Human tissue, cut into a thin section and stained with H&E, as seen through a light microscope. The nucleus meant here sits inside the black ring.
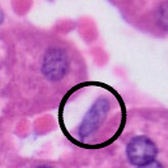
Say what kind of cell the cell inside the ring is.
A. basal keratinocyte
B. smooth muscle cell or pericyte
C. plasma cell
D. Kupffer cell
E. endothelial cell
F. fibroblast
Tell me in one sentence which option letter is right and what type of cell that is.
In keeping with option D, the cell inside the ring is a Kupffer cell.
